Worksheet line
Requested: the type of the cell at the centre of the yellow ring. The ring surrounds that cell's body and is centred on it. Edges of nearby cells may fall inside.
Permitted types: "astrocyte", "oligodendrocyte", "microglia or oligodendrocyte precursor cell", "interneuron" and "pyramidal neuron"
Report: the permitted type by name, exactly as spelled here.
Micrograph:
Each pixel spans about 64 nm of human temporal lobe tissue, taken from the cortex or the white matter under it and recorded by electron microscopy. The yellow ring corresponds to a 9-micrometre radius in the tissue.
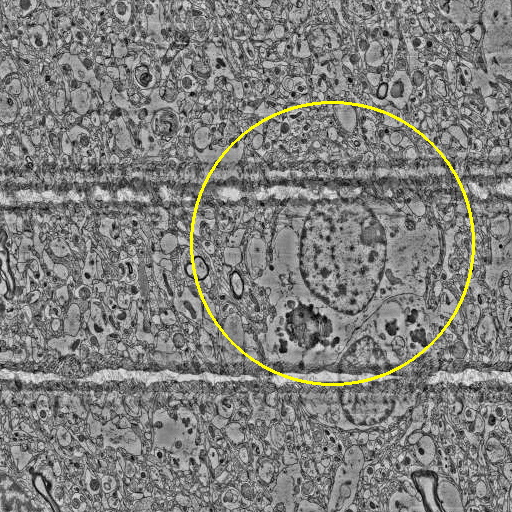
astrocyte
